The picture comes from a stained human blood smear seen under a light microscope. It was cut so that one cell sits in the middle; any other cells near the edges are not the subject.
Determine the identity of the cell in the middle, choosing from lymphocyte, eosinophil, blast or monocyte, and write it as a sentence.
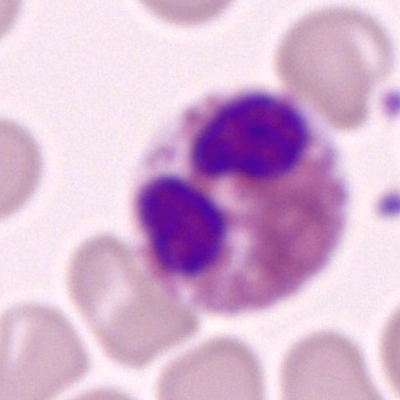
Here the cell in the middle is an eosinophil.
